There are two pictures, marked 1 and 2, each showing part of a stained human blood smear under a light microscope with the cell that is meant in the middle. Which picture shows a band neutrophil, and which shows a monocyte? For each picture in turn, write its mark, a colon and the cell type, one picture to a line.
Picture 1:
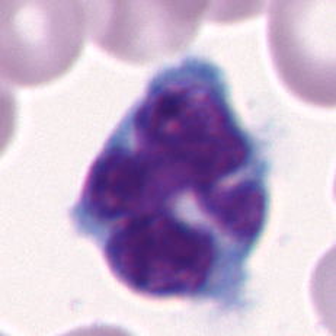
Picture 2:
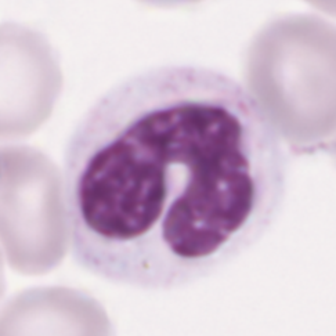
1: monocyte
2: band neutrophil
